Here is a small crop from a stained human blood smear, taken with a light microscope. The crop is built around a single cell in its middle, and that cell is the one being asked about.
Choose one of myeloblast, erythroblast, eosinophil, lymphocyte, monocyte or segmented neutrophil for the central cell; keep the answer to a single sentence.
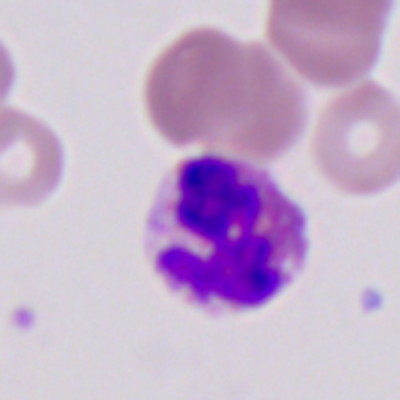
Standing at the centre of this crop is an eosinophil.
